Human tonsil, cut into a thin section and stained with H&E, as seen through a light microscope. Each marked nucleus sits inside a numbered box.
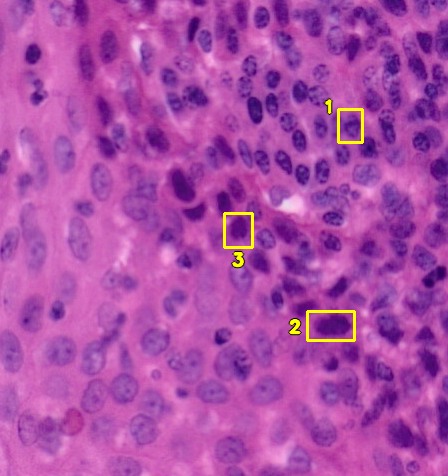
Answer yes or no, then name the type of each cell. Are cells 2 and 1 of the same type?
No, cell 2 is a squamous epithelial cell and cell 1 is a plasma cell.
